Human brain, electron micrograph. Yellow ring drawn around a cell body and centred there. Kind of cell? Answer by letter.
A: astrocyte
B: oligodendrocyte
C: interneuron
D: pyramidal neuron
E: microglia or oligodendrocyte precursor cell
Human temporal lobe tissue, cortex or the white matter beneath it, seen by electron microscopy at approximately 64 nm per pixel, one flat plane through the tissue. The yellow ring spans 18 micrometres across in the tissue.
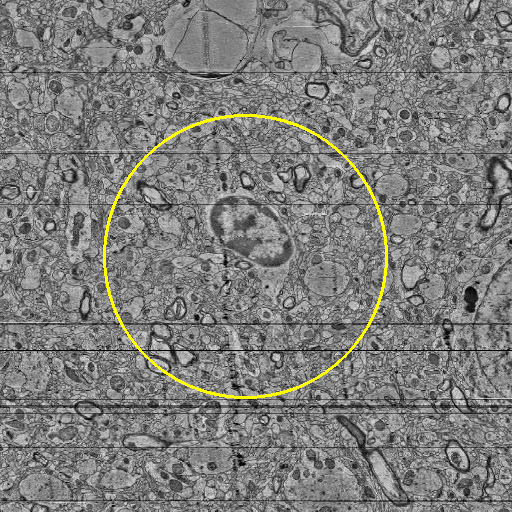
E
